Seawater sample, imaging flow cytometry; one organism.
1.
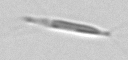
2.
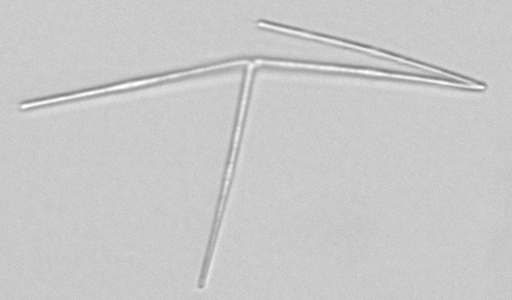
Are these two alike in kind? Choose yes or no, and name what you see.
No. First Calciosolenia, second Thalassionema.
